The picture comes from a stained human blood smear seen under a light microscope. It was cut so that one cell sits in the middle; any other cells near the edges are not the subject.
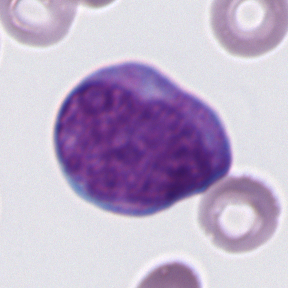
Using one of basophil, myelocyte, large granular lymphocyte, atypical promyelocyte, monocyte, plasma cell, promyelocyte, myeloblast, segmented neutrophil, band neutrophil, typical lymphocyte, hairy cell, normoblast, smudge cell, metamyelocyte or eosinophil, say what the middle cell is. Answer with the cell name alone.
atypical promyelocyte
